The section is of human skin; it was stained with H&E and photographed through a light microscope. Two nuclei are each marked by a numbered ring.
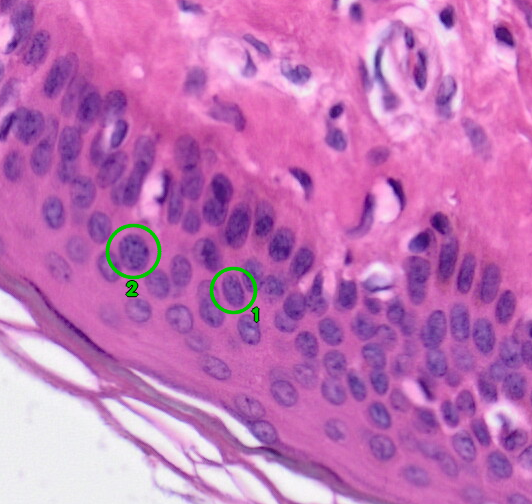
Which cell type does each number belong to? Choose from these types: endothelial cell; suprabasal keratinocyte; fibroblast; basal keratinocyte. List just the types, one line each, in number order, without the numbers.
suprabasal keratinocyte
basal keratinocyte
